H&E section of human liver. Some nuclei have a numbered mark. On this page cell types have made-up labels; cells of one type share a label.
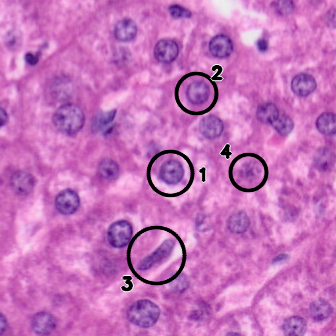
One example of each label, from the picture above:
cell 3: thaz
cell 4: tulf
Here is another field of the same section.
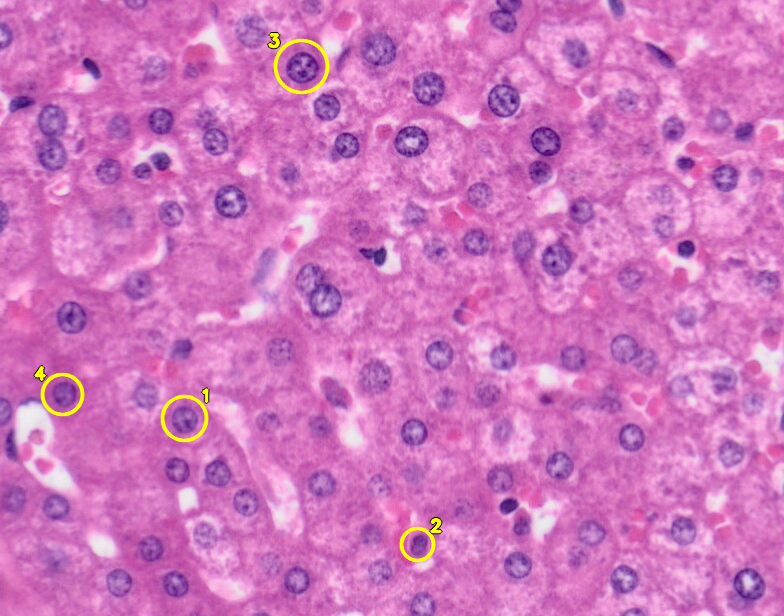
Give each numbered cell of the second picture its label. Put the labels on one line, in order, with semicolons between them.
tulf; thaz; tulf; tulf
